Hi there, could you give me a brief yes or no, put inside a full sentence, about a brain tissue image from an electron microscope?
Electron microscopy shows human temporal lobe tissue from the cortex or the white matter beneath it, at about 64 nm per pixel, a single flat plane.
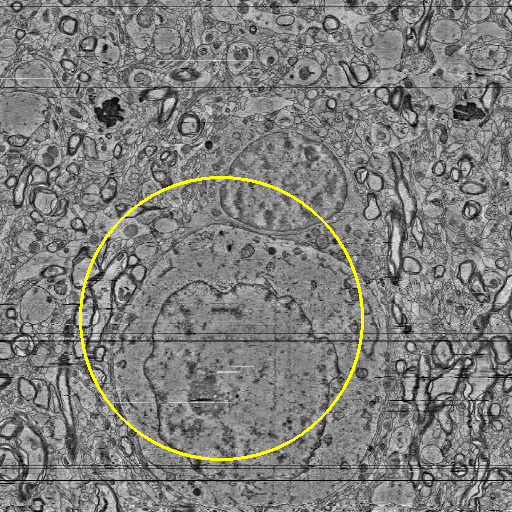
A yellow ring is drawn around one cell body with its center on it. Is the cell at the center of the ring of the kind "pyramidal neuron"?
Yes, the cell found at the center of the yellow ring is of that kind.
